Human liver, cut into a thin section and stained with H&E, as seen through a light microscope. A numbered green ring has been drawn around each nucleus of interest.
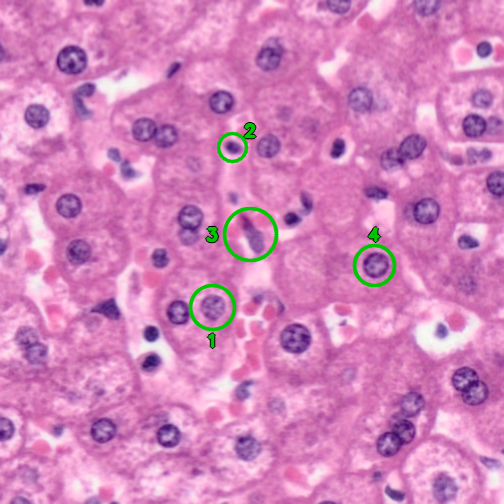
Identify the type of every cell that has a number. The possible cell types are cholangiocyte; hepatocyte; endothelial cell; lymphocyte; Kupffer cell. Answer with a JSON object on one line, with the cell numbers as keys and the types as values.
{"1": "hepatocyte", "2": "lymphocyte", "3": "Kupffer cell", "4": "hepatocyte"}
